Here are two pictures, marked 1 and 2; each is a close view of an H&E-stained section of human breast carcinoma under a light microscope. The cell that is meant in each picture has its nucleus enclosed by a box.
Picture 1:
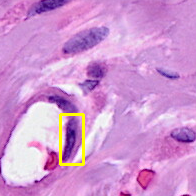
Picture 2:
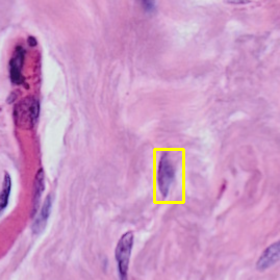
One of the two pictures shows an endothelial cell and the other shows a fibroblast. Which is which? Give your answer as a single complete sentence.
Picture 2 shows a fibroblast, while picture 1 shows an endothelial cell.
